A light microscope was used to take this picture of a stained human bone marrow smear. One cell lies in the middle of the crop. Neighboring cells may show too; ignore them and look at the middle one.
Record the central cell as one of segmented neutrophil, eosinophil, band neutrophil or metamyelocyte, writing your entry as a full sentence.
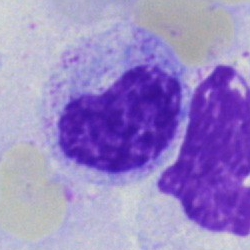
The cell at the middle of the crop is recognized as a metamyelocyte.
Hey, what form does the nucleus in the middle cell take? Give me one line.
Its nucleus is compact and single, with a round, oval or kidney-shaped form.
